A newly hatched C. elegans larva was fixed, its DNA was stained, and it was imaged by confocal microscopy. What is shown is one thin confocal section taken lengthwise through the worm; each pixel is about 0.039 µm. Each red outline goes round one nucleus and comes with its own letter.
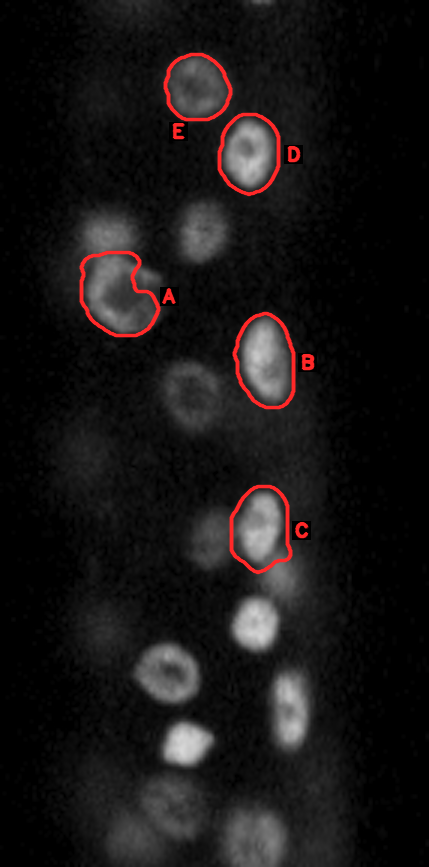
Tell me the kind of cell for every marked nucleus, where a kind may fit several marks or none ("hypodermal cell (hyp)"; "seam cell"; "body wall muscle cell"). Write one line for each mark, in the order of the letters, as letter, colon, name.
A: hypodermal cell (hyp)
B: body wall muscle cell
C: body wall muscle cell
D: body wall muscle cell
E: seam cell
